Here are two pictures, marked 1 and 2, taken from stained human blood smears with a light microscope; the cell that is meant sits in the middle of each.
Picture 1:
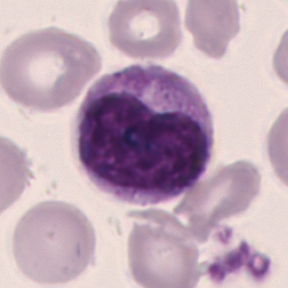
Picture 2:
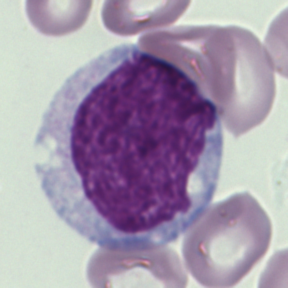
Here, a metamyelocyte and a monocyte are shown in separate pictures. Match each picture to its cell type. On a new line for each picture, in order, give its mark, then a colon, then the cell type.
1: metamyelocyte
2: monocyte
